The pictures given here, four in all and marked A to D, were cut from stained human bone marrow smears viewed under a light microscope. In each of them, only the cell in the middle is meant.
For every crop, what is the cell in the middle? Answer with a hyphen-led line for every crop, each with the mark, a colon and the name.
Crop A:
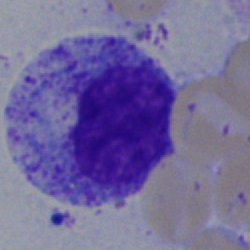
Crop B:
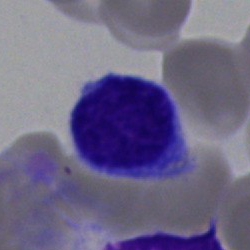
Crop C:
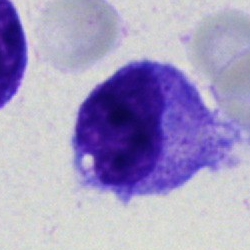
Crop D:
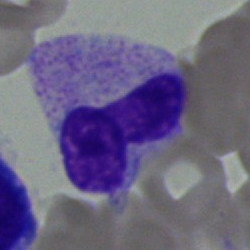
- A: myelocyte
- B: lymphocyte
- C: myelocyte
- D: band neutrophil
